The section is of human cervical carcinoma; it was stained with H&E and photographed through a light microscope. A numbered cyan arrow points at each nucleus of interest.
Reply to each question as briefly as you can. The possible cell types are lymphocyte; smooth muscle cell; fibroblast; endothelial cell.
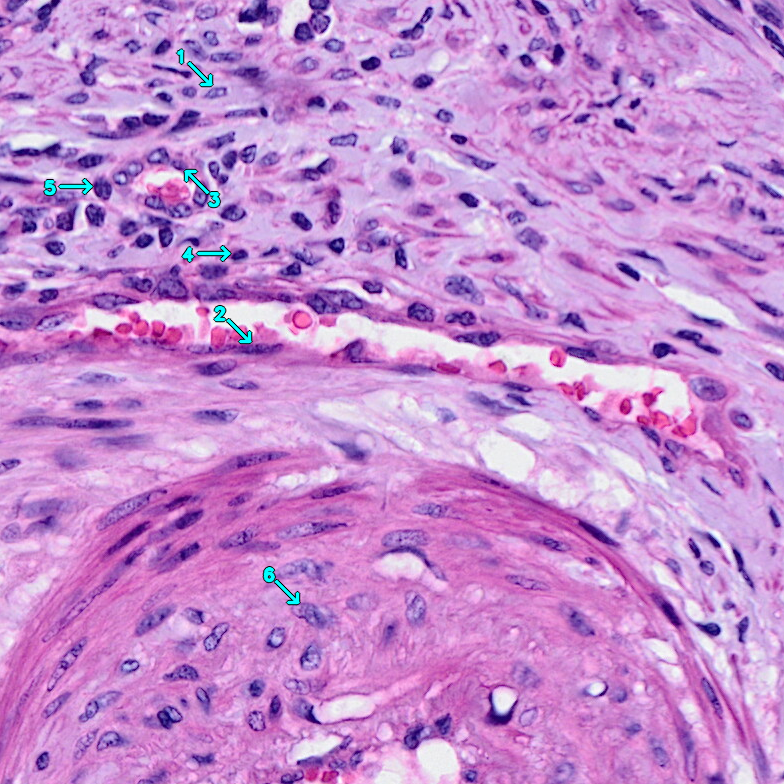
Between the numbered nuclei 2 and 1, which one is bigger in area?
2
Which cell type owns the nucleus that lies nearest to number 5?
endothelial cell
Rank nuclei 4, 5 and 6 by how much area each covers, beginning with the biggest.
6, 5, 4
